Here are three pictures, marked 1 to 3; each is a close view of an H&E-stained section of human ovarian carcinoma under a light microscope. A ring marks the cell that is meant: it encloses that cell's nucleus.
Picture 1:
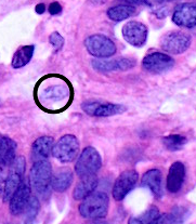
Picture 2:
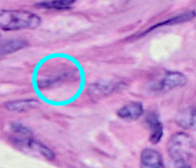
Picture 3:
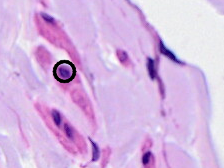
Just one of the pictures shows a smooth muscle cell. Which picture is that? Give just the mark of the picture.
3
